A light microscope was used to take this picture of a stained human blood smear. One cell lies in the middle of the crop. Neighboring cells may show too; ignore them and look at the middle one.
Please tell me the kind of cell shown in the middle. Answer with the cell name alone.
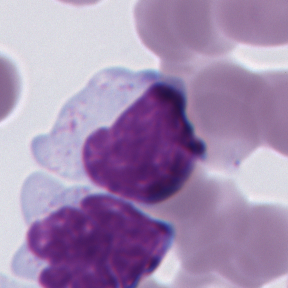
large granular lymphocyte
